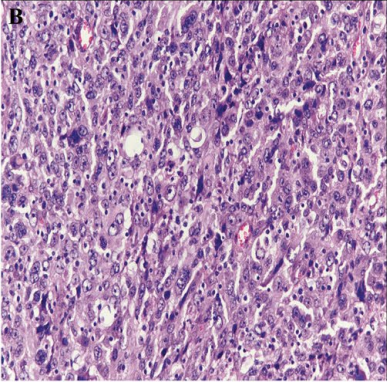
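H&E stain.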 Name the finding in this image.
Large highly atypical malignant cells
